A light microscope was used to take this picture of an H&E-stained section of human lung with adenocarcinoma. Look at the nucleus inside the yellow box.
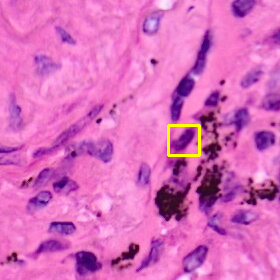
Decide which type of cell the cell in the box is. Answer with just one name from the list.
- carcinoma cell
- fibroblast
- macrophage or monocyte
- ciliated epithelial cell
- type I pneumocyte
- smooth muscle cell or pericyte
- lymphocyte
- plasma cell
plasma cell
